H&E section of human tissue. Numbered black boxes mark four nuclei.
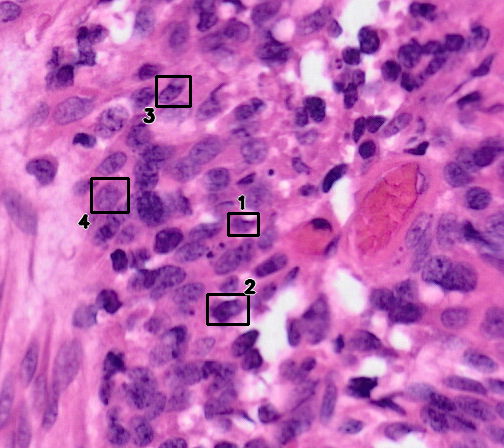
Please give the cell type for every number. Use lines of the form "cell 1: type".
cell 1: carcinoma cell
cell 2: carcinoma cell
cell 3: macrophage or monocyte
cell 4: carcinoma cell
